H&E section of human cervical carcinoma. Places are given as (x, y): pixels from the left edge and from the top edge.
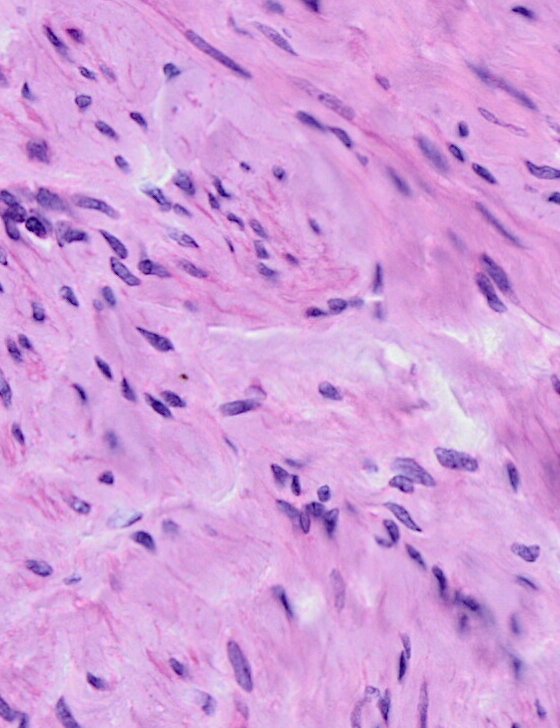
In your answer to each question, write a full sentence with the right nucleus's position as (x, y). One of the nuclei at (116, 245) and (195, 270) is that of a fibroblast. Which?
Of these two nuclei, it is the one at (116, 245) that belongs to a fibroblast.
